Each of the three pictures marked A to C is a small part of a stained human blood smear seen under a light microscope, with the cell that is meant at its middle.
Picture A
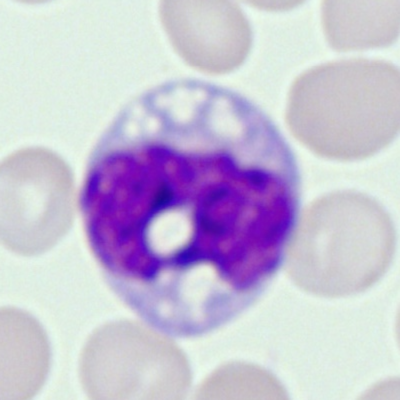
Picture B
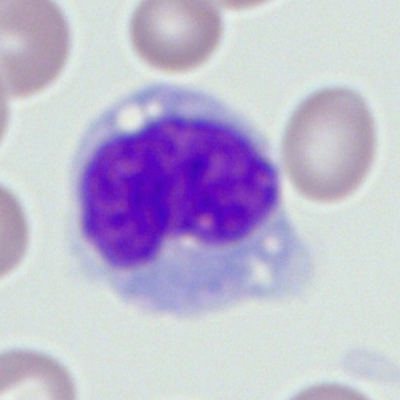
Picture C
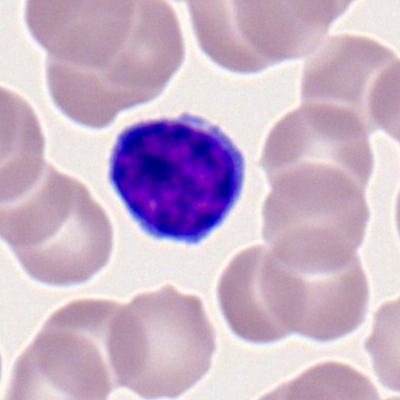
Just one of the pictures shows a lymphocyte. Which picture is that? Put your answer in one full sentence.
The picture with the lymphocyte is C.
